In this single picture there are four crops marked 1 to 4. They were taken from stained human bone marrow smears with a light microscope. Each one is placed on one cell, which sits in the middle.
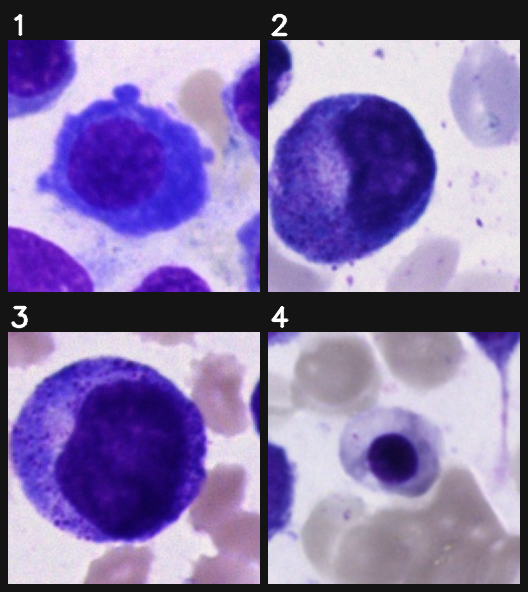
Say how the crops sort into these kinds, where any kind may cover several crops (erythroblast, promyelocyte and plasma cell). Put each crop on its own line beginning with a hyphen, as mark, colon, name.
- 1: plasma cell
- 2: promyelocyte
- 3: promyelocyte
- 4: erythroblast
